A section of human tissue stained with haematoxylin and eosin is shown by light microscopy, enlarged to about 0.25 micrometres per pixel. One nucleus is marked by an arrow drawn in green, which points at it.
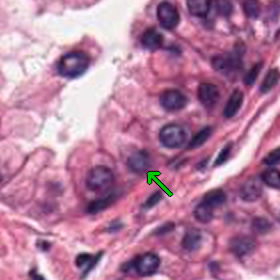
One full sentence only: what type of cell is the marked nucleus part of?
In this image, the nucleus that is marked belongs to a prostate gland luminal cell.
